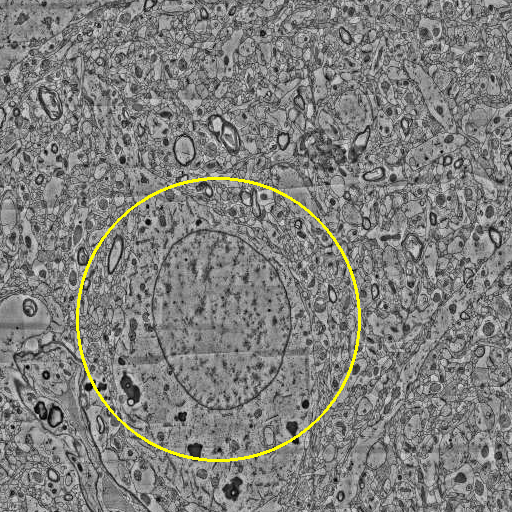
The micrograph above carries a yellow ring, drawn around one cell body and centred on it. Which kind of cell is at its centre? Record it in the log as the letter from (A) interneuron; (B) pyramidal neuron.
B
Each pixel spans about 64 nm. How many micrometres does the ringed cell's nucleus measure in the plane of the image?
Roughly 12 micrometres by 9 micrometres, in this plane.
